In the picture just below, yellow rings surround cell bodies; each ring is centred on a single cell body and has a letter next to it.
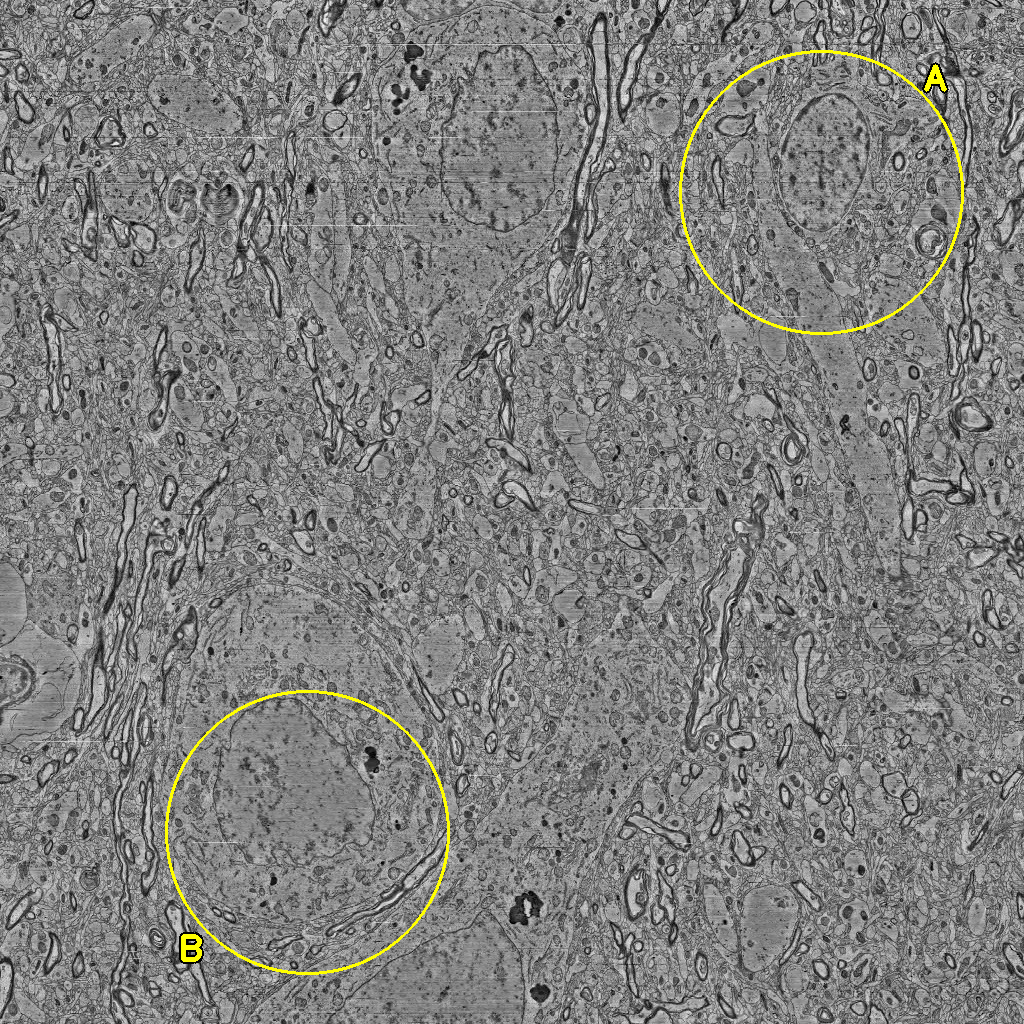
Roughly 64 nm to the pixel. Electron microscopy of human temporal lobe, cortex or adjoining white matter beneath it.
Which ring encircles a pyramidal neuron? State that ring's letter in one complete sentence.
The letter B marks the ring centred on the cell asked for in the picture.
